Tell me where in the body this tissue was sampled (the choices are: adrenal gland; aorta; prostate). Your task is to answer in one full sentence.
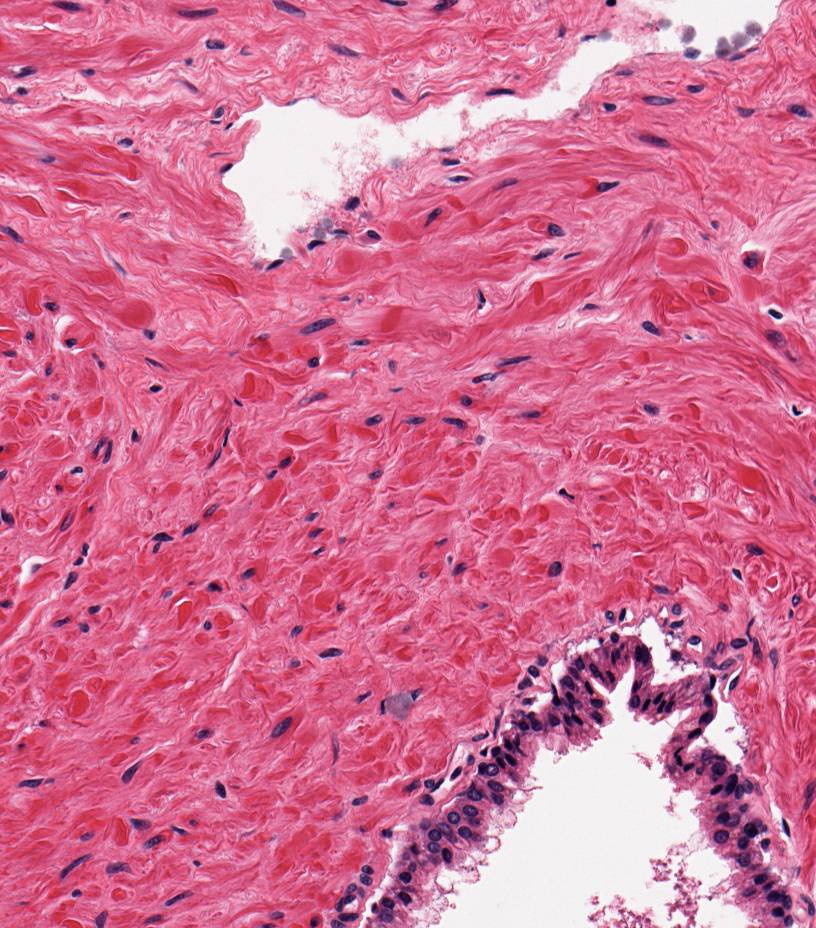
The tissue seen in this section was sampled from the prostate.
